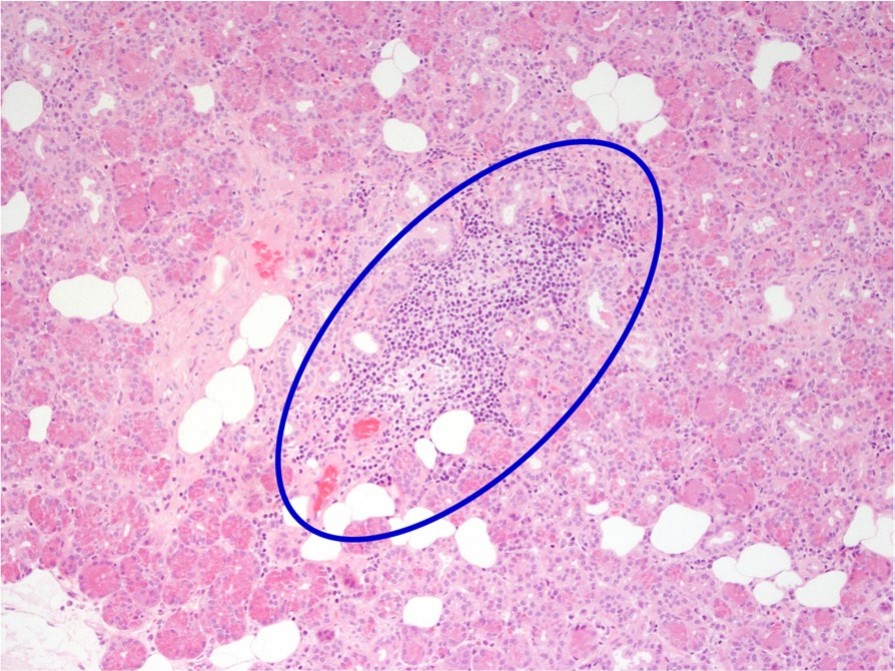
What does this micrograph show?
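The gland is built of closely packed rounded acini whose cells have pink, finely granular cytoplasm and small round basal nuclei. Scattered clear round spaces of fat cells lie between the acini, and a few small ducts and vessels with red blood cells are seen. Near the centre, a poorly bounded cluster of small cells with round, dark purple nuclei and scant cytoplasm crowds the stroma between acini. Elsewhere the acini are densely packed with little intervening stroma.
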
